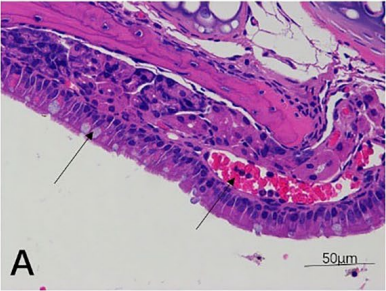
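This is nasal mucosa, lined by a pseudostratified columnar epithelium whose many dark purple nuclei are crowded at several levels, with pale rounded cells among them. Beneath the epithelium lies a cellular connective tissue containing a vessel packed with red blood cells. A pink band of bone lies deeper in the section.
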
